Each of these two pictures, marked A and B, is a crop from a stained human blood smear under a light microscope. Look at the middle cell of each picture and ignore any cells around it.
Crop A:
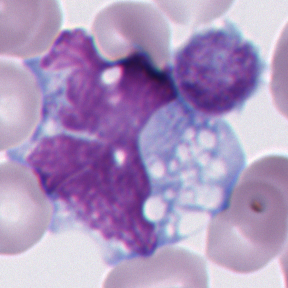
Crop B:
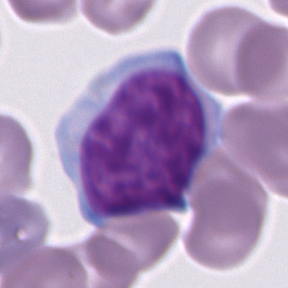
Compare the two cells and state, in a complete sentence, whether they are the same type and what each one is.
No: a monocyte sits in crop A, and a blast sits in crop B.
